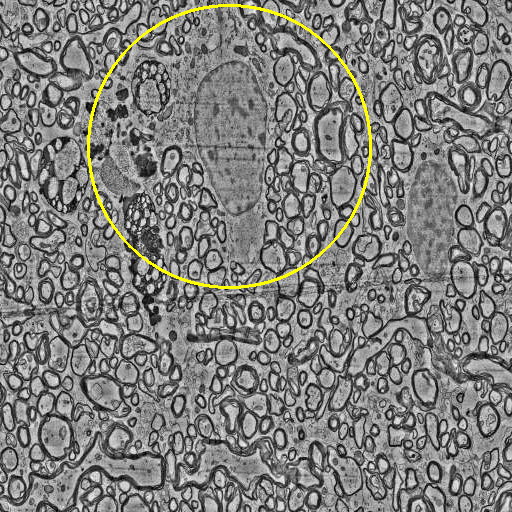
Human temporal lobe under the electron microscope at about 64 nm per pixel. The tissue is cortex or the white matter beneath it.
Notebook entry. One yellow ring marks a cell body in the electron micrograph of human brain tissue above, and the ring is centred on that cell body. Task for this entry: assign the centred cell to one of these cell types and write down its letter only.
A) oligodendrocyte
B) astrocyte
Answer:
B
